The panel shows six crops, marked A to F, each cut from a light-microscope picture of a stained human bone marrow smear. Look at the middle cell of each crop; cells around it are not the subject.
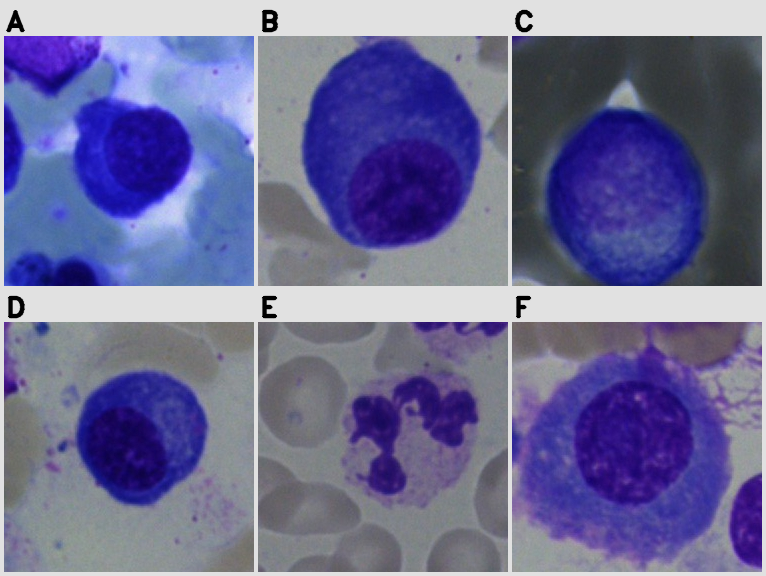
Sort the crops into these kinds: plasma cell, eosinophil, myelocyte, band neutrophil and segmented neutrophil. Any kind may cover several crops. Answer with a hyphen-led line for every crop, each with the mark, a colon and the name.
- A: plasma cell
- B: plasma cell
- C: plasma cell
- D: plasma cell
- E: segmented neutrophil
- F: plasma cell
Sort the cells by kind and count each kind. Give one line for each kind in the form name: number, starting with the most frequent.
plasma cell: 5
segmented neutrophil: 1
